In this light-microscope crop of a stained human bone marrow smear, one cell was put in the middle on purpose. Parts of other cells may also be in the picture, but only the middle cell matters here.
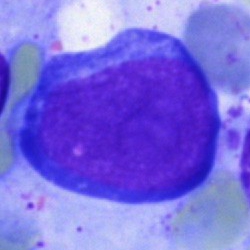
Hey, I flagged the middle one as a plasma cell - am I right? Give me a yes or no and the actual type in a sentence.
No, the centre cell counts as a proerythroblast, not as a plasma cell.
